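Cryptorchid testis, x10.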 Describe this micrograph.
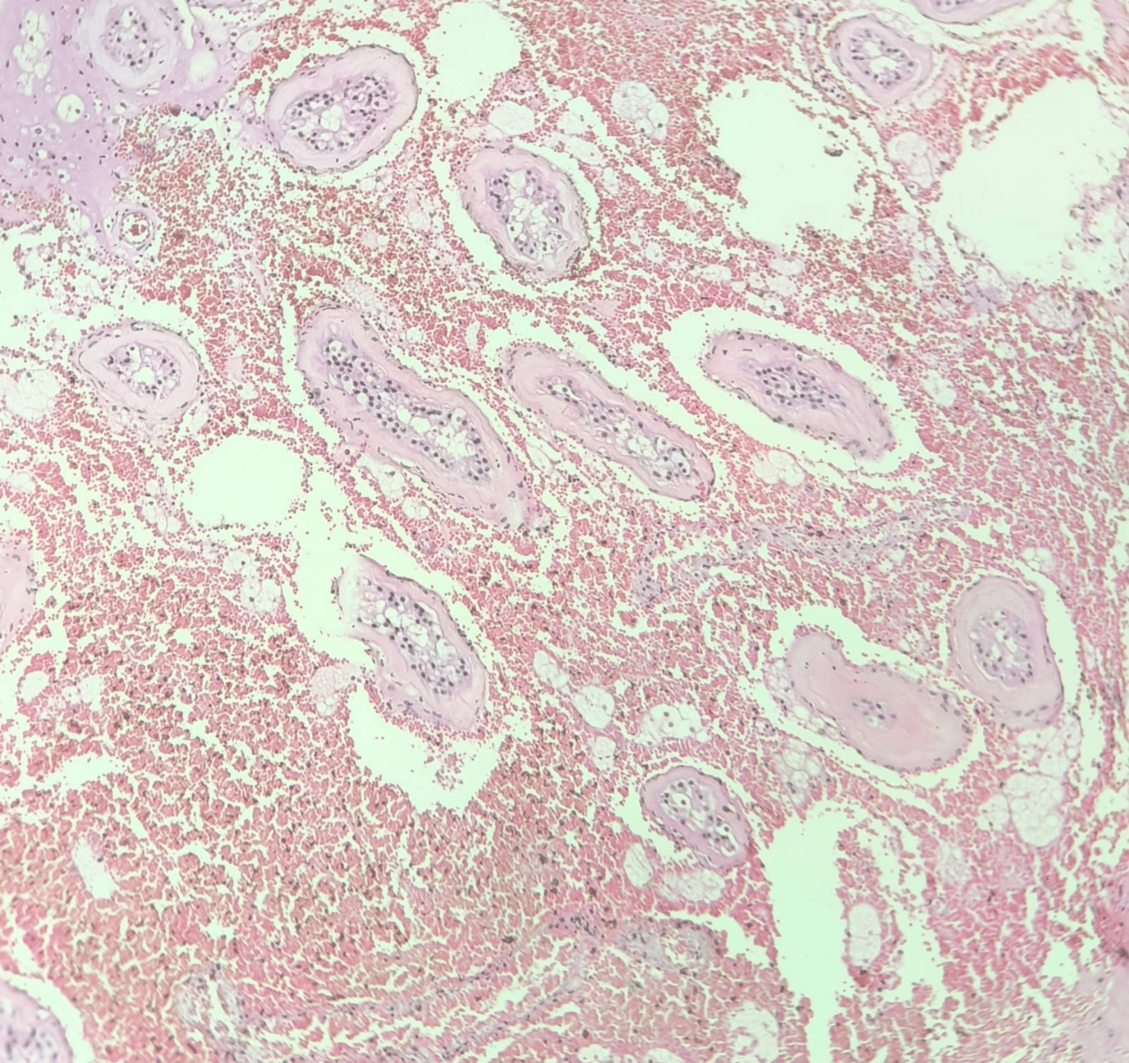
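Scattered small oval and elongated tubules lie widely apart, each with a thick, glassy pale pink wall enclosing a thin core of cells with purple nuclei and pale, bubbly cytoplasm. No layered germ cells and no sperm are seen inside any tubule. The tissue between them is flooded by sheets of free red blood cells, with some clear empty spaces. These are atrophic seminiferous tubules with absent spermatogenesis, set in a stroma showing hemorrhage.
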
